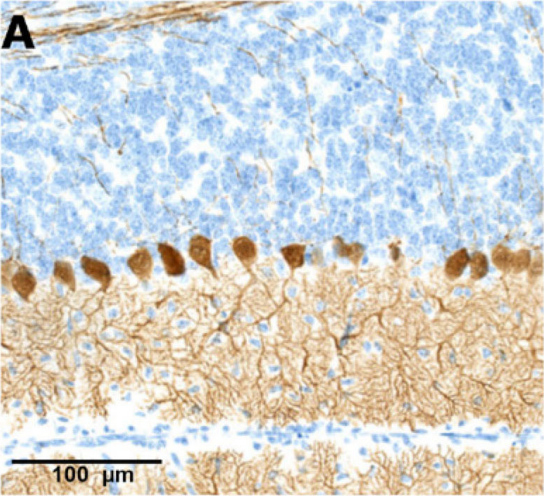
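The granular layer above is packed with small round blue nuclei and crossed by a few thin brown fibers. The Purkinje cell bodies are large and flask-shaped, their bases toward the granular layer. Brown dendritic trees branch downward through the molecular layer, which holds scattered small blue nuclei. A band of brown fibers crosses the upper left corner.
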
